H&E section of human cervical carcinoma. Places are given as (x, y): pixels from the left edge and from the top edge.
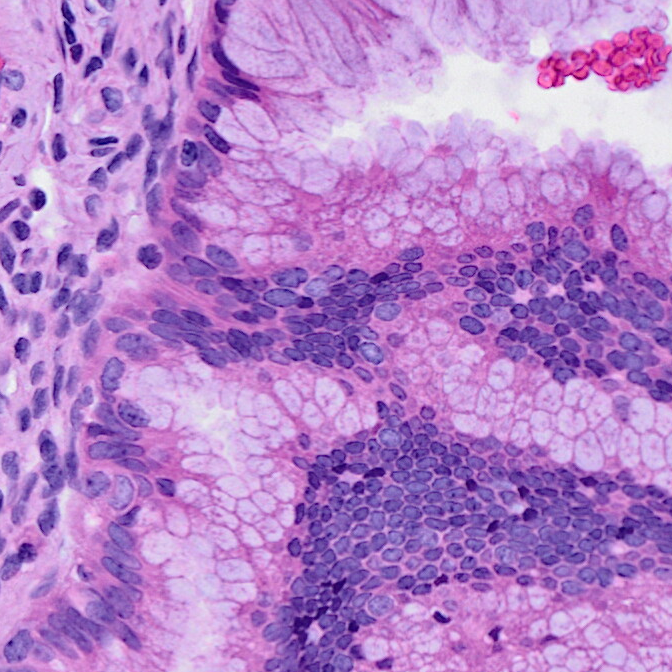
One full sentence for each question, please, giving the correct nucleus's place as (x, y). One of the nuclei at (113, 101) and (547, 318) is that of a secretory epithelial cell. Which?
Housed in a secretory epithelial cell is the nucleus at (547, 318), not the other one.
